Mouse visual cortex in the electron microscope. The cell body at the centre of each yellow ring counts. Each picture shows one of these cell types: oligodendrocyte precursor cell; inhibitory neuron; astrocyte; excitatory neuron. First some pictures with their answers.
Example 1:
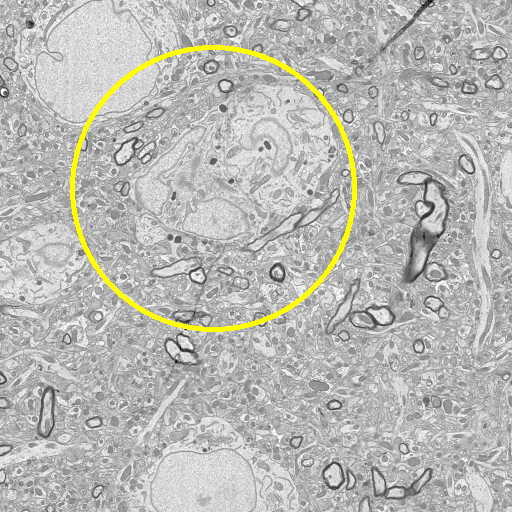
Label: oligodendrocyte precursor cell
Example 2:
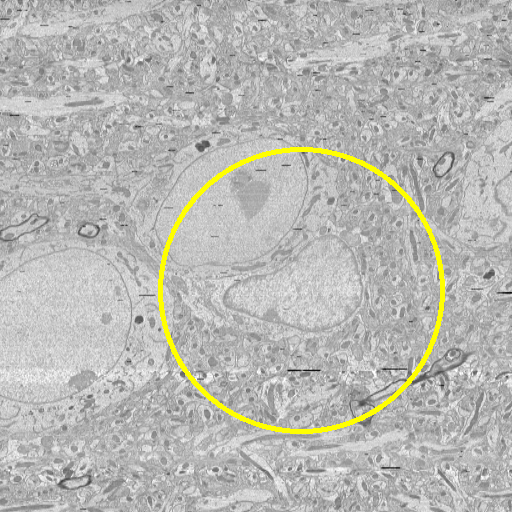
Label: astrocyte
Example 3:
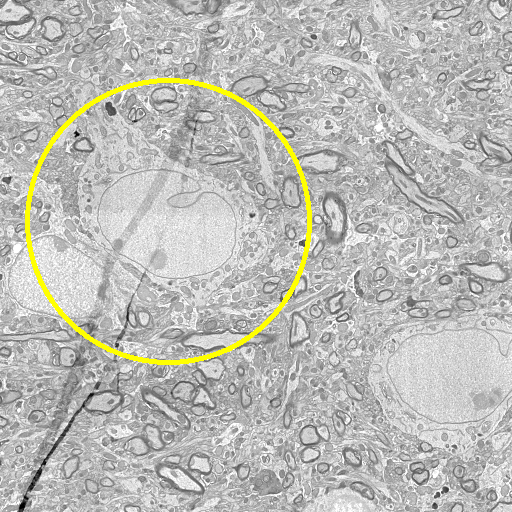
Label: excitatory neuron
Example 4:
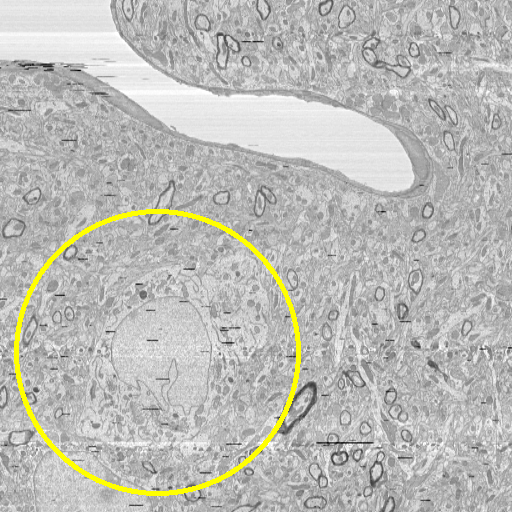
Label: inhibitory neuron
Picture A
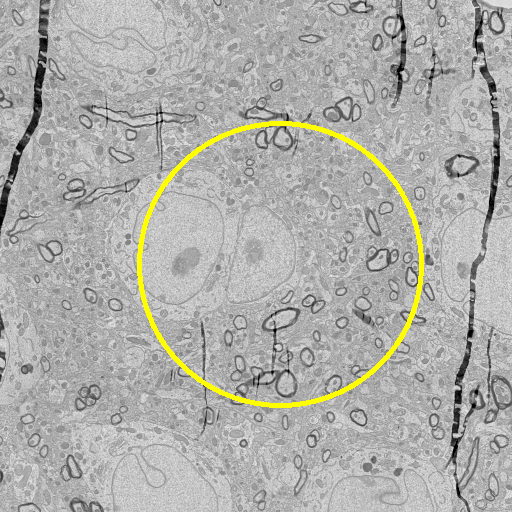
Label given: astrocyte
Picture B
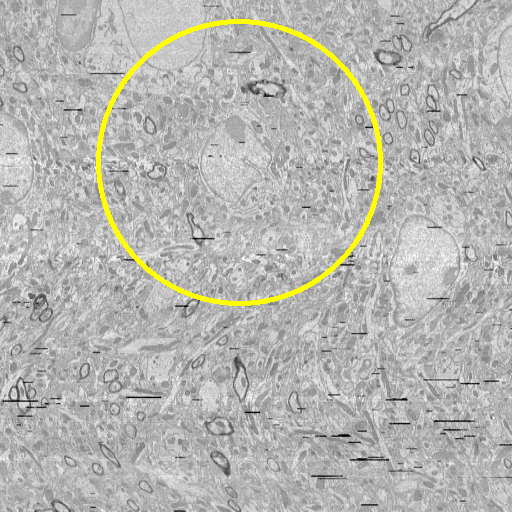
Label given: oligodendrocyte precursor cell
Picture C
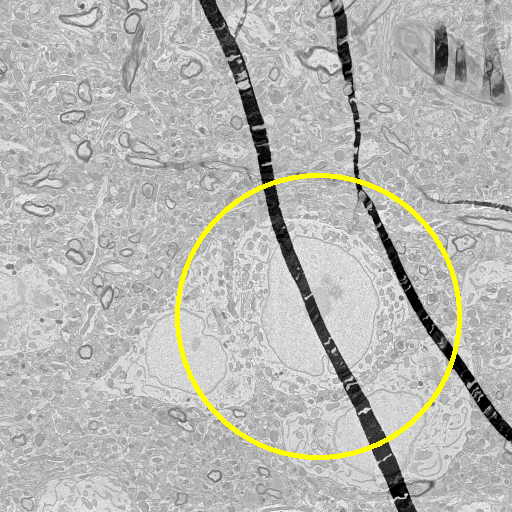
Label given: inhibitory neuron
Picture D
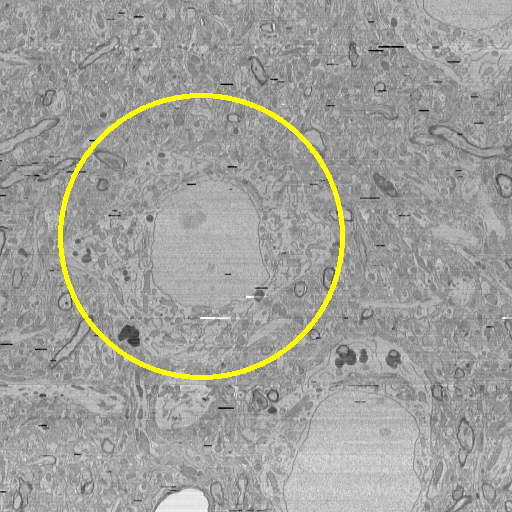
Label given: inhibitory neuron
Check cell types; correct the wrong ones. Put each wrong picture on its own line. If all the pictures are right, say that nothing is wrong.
A: oligodendrocyte precursor cell, not astrocyte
